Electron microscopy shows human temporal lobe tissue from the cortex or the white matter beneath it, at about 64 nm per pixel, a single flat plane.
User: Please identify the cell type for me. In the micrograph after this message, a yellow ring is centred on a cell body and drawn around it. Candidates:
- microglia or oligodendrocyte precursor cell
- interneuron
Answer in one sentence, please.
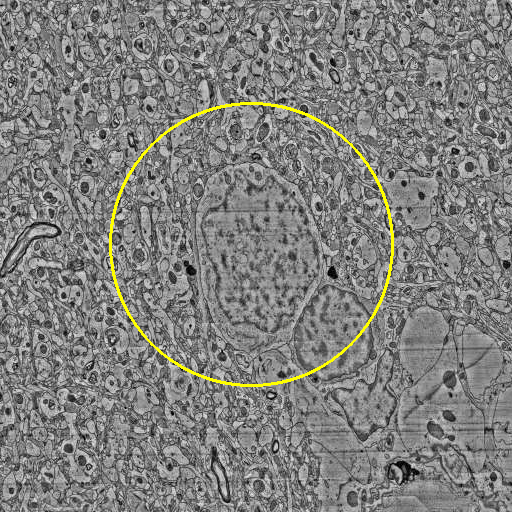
The ring is drawn around the cell body of an interneuron.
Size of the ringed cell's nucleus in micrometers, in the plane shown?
In this plane, about 9 micrometres in length and 7 in width.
